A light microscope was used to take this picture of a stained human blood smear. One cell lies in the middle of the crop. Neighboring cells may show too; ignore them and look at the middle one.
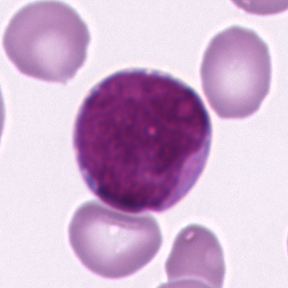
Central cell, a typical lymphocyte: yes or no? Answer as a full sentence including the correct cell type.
No, the cell in the middle is categorised as a myeloblast, not a typical lymphocyte.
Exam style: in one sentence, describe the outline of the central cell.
Worth noting that the cell border is smooth and lacks projections.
